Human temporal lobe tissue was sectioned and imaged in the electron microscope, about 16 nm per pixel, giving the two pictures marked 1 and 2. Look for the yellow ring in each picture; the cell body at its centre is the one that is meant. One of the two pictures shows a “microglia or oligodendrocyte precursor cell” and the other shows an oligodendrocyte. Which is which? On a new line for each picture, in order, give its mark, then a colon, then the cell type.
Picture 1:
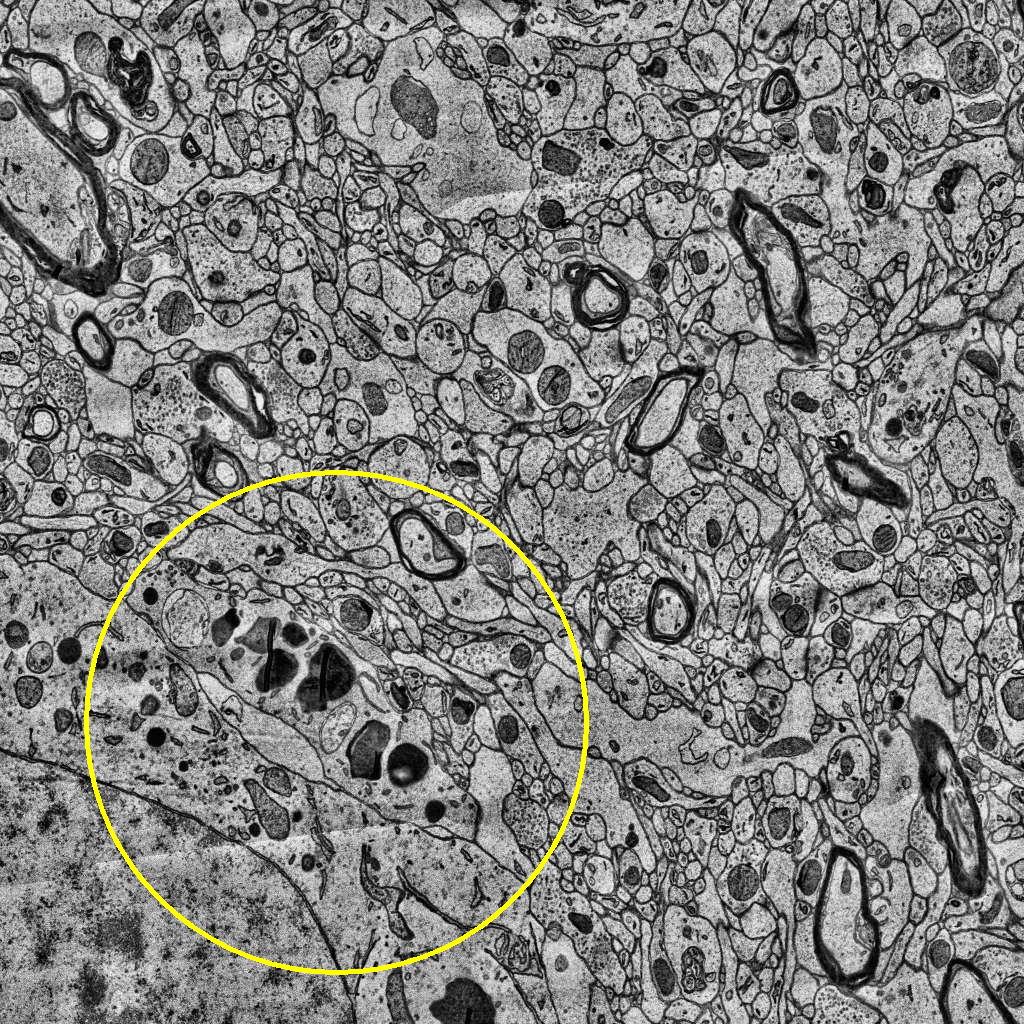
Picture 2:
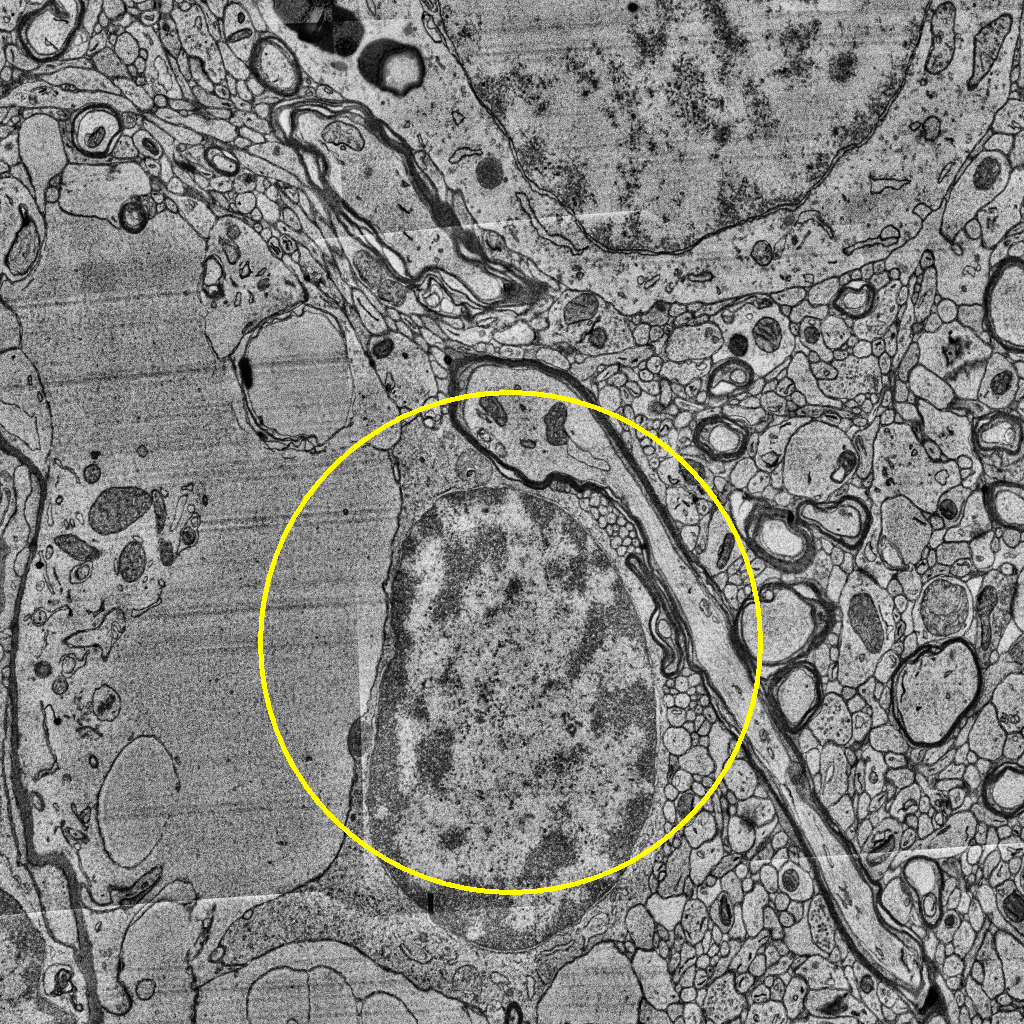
1: microglia or oligodendrocyte precursor cell
2: oligodendrocyte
